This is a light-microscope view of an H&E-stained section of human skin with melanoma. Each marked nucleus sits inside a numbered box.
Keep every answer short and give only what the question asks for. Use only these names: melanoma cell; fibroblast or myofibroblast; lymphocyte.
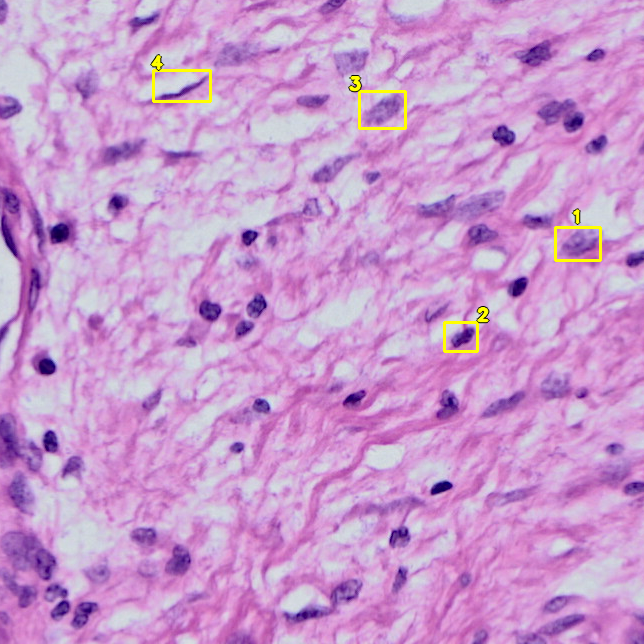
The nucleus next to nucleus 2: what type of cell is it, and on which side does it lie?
a fibroblast or myofibroblast, above and to the left of nucleus 2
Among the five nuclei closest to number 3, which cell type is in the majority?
fibroblast or myofibroblast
